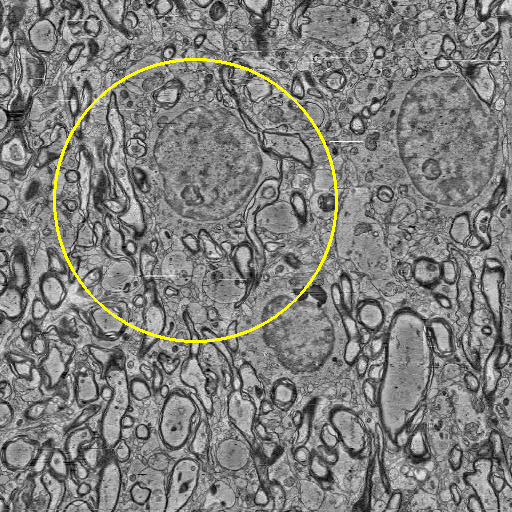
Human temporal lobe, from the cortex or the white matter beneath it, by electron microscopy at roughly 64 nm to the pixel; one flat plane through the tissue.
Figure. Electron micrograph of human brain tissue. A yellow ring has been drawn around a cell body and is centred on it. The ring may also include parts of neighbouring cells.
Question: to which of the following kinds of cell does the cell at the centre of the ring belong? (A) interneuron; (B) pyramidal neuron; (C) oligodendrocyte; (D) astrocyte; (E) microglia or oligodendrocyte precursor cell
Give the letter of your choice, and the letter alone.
C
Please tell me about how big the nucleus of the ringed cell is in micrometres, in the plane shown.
The nucleus appears about 7 micrometres across in this plane.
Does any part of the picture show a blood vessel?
No.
